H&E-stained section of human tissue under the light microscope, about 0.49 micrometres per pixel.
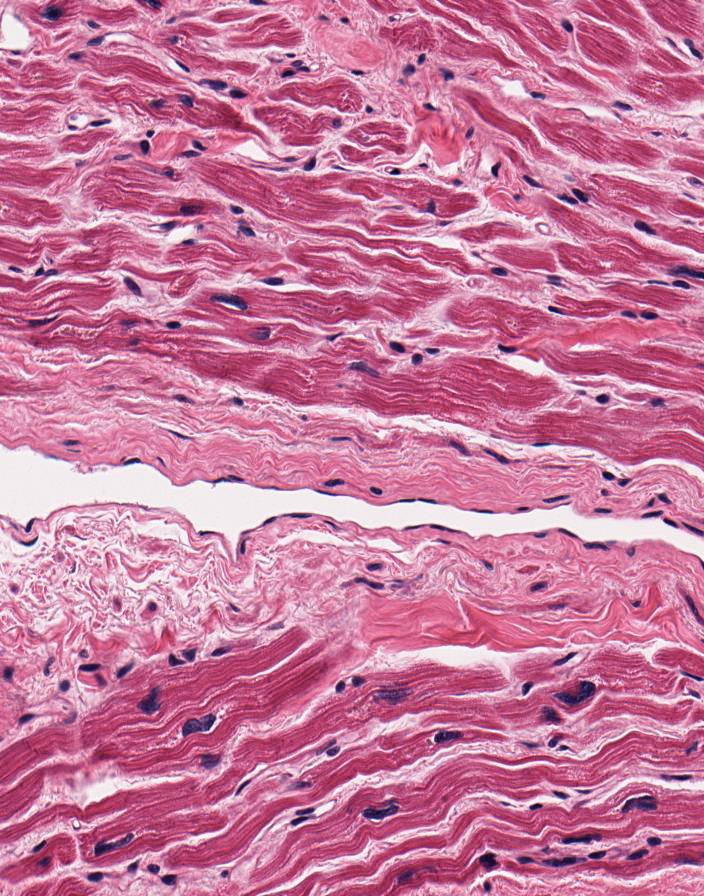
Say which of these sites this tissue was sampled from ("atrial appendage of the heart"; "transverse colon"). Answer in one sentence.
The site this tissue was sampled from is the atrial appendage of the heart.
